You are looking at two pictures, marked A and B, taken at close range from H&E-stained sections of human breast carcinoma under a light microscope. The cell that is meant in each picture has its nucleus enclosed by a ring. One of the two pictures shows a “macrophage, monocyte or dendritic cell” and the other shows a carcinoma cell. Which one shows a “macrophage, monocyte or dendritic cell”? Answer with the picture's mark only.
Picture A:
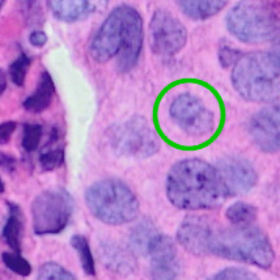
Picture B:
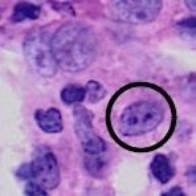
B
